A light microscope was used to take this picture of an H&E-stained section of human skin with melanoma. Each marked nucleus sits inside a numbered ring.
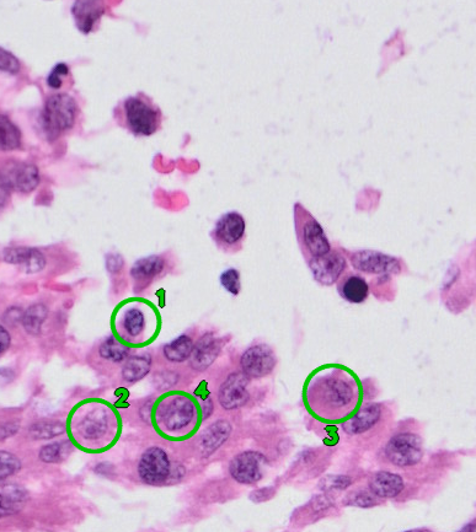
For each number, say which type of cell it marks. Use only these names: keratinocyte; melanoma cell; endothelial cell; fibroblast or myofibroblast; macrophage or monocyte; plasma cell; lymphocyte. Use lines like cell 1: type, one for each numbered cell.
cell 1: lymphocyte
cell 2: melanoma cell
cell 3: melanoma cell
cell 4: melanoma cell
